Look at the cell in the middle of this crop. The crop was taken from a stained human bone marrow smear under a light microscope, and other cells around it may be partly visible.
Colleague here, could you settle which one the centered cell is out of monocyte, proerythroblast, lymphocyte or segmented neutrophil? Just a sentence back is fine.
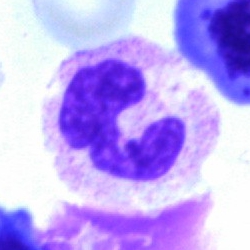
Looking at the middle of the crop, the cell there is a segmented neutrophil.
